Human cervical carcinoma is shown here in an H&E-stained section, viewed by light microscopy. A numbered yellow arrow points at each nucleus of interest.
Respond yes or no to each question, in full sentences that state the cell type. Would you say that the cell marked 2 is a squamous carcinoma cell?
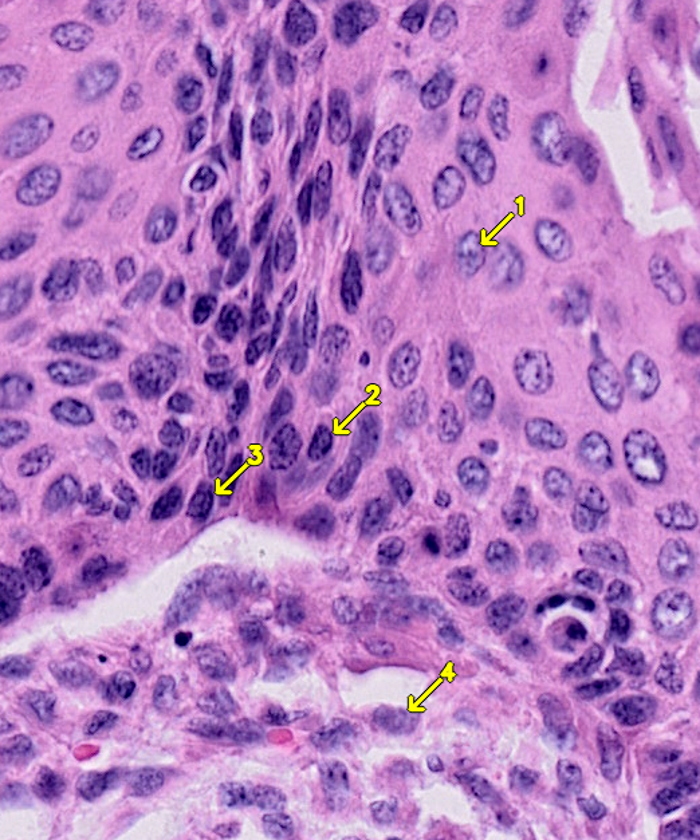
Yes, in this tissue section, number 2 is a squamous carcinoma cell.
